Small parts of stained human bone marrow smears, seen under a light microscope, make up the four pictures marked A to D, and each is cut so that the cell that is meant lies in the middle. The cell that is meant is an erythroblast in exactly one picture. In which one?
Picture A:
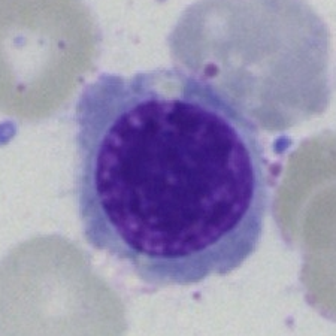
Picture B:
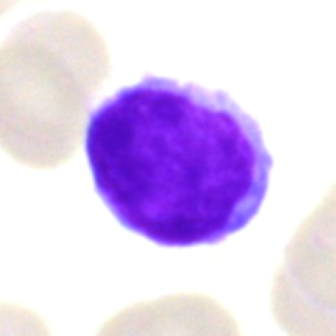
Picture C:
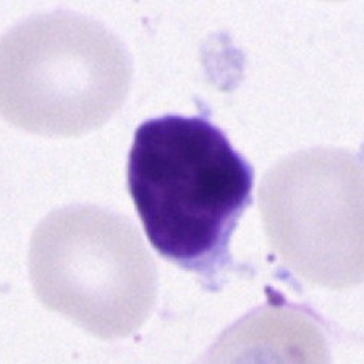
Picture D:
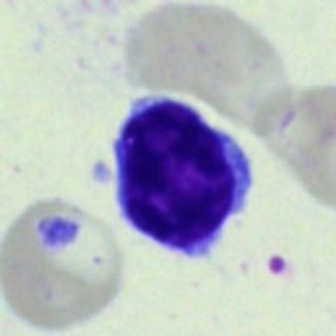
A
